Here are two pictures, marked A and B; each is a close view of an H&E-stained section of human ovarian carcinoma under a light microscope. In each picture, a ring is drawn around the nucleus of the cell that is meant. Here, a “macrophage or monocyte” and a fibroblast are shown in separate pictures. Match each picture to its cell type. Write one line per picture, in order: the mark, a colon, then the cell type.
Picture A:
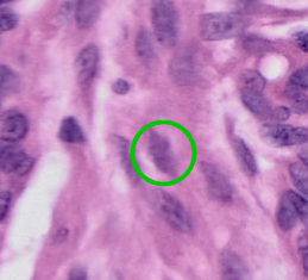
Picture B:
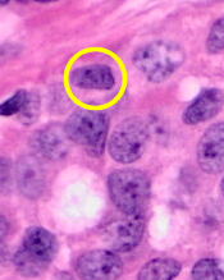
A: fibroblast
B: macrophage or monocyte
